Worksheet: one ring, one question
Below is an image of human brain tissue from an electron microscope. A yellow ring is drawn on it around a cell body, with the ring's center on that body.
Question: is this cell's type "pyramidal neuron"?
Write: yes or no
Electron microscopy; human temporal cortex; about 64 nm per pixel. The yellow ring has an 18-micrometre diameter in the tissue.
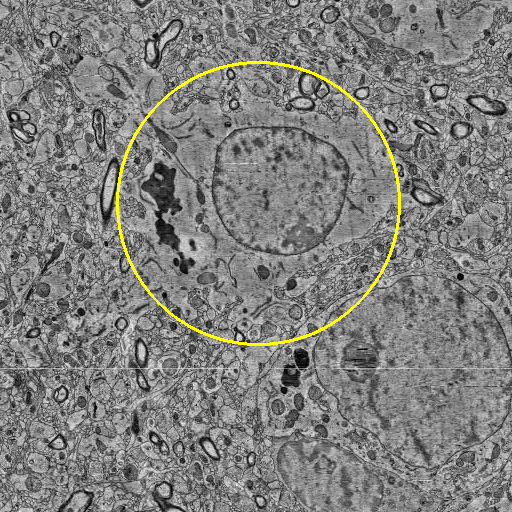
no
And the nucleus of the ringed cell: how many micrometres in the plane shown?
In this plane, the nucleus of the cell at the centre of the ring is about 9 micrometres across.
